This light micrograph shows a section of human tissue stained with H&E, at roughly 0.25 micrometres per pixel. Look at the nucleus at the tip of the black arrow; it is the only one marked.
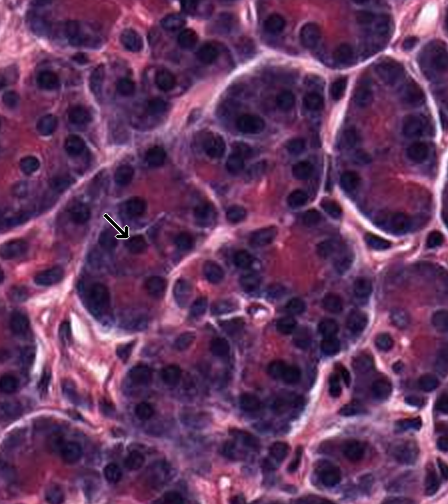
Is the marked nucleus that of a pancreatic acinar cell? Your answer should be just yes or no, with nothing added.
yes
